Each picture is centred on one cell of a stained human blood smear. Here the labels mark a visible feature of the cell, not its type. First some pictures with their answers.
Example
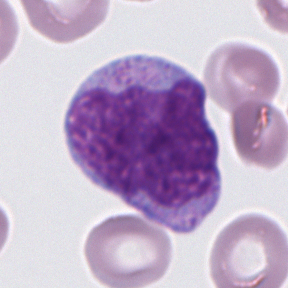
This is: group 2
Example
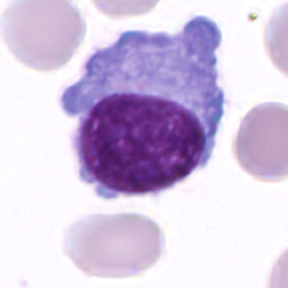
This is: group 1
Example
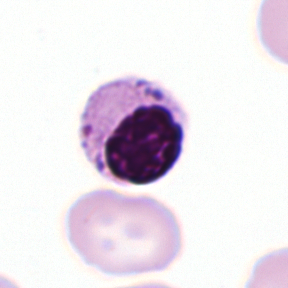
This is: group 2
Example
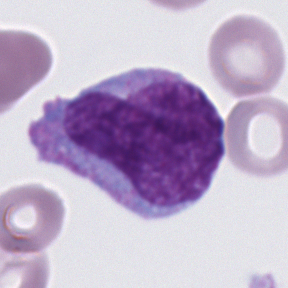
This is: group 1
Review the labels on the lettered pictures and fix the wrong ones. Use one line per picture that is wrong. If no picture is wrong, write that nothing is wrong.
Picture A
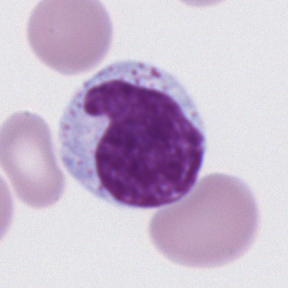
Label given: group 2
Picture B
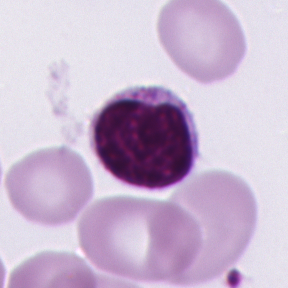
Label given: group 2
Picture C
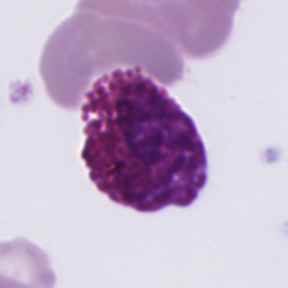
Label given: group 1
No label is wrong.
